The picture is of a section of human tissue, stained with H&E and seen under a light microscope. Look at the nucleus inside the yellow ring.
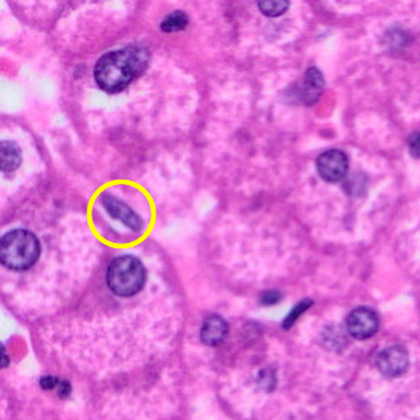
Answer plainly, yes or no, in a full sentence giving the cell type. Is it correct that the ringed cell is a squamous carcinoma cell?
No, the ringed cell is a Kupffer cell; calling it a squamous carcinoma cell would be wrong.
